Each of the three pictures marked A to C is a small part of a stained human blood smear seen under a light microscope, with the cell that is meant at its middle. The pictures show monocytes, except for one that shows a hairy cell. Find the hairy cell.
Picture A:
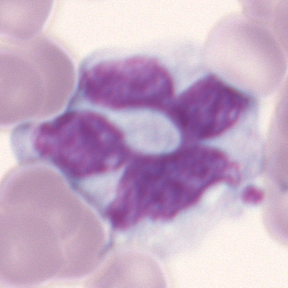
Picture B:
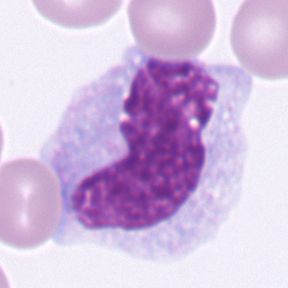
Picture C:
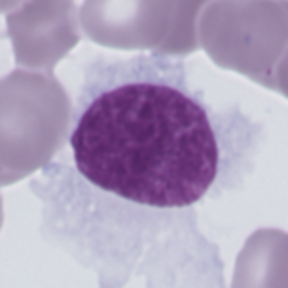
C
